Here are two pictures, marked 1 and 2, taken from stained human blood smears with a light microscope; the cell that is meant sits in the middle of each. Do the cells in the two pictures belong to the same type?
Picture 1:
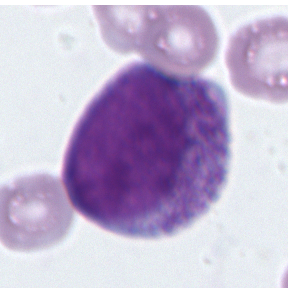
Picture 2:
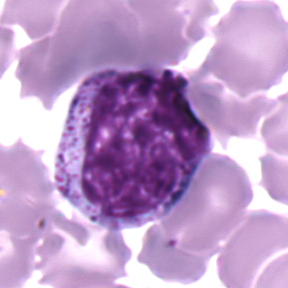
no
